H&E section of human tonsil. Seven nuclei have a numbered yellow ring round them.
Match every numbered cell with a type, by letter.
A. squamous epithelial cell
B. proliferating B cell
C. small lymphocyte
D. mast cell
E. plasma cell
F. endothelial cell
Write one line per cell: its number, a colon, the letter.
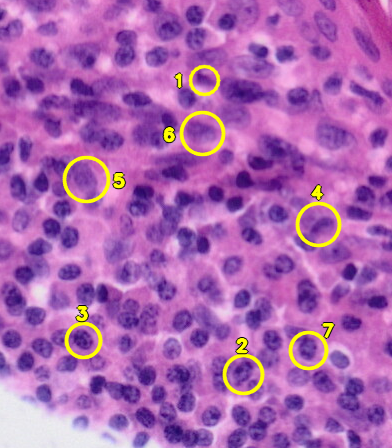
1: A
2: E
3: E
4: A
5: F
6: A
7: E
